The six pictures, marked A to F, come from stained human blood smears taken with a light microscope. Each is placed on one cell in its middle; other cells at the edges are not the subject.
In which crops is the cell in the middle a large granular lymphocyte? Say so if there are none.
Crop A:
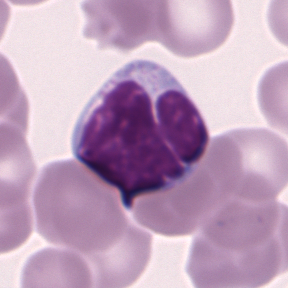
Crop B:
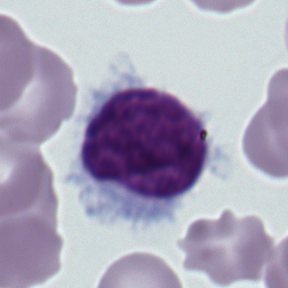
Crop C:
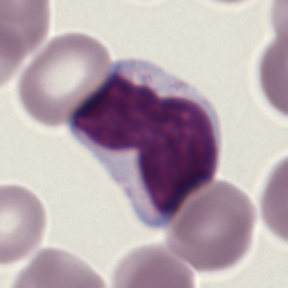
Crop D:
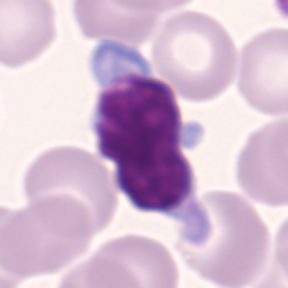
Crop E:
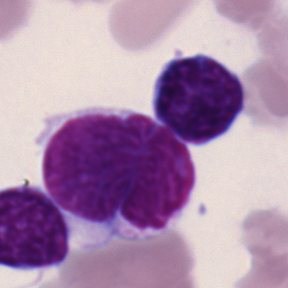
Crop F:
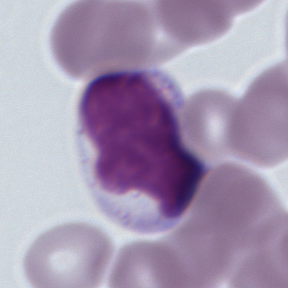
A, C, F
